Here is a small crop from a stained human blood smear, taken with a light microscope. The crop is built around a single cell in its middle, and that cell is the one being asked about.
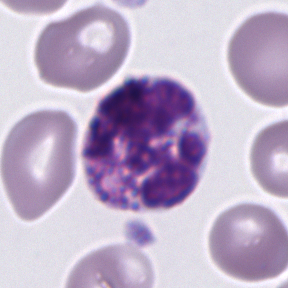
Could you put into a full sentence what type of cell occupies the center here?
Classified as a basophil is the cell in the middle of this crop.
